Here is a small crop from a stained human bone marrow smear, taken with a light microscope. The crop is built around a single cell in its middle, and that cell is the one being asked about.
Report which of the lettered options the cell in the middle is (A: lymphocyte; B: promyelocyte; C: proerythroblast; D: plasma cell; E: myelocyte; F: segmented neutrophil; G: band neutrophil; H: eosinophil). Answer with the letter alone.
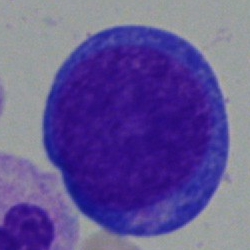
C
